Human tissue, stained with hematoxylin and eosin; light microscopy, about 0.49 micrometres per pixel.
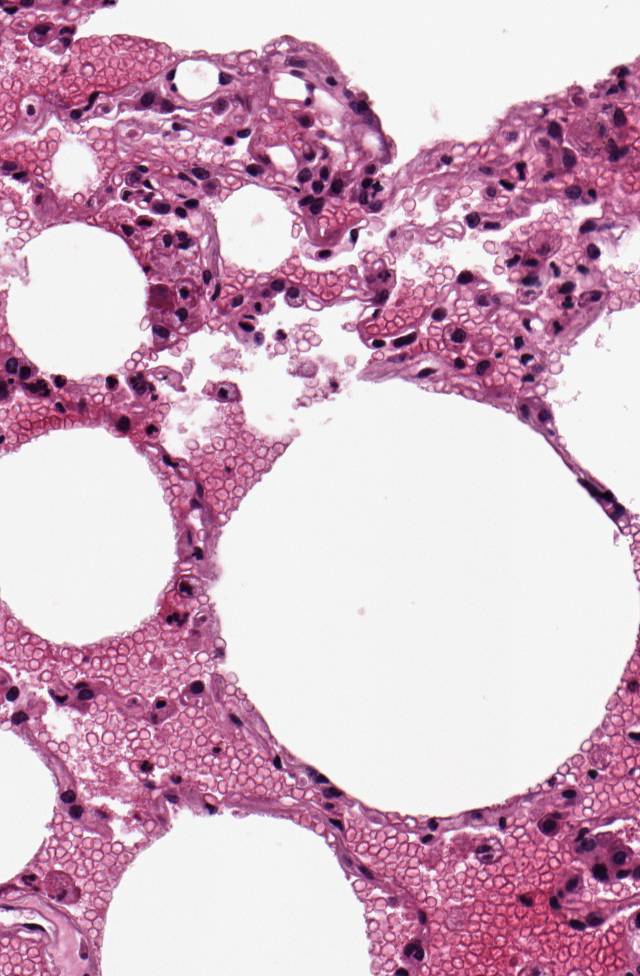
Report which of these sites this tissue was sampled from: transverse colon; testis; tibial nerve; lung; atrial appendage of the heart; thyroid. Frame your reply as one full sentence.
It was from the lung that this tissue was sampled.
